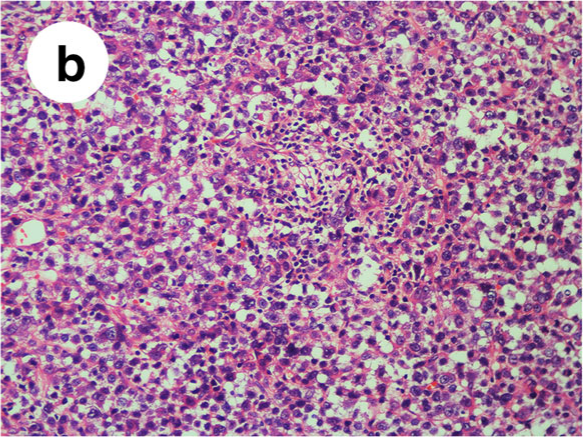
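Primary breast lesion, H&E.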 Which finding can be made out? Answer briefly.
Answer: Abundant and eosinophilic cytoplasm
